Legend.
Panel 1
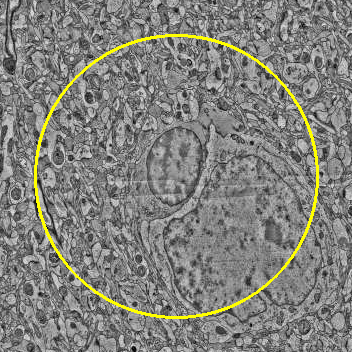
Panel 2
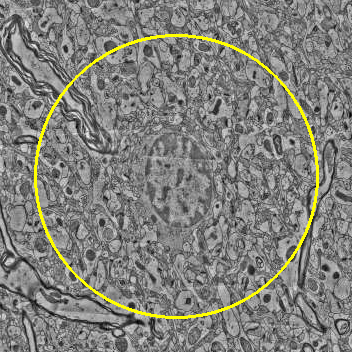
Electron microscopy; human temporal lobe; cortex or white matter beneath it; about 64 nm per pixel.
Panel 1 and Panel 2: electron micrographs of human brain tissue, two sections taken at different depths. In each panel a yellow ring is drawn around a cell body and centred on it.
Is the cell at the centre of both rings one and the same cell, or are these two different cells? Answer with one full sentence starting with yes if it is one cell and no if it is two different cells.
No, one ring and the other ring mark two distinct cells.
